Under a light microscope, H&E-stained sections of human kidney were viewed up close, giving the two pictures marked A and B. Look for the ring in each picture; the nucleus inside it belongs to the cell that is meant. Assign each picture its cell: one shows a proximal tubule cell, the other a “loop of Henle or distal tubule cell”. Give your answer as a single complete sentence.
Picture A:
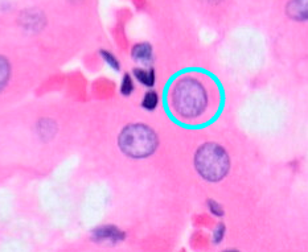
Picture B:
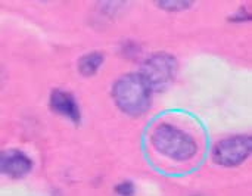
It is picture A that shows a proximal tubule cell, and picture B that shows a “loop of Henle or distal tubule cell”.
